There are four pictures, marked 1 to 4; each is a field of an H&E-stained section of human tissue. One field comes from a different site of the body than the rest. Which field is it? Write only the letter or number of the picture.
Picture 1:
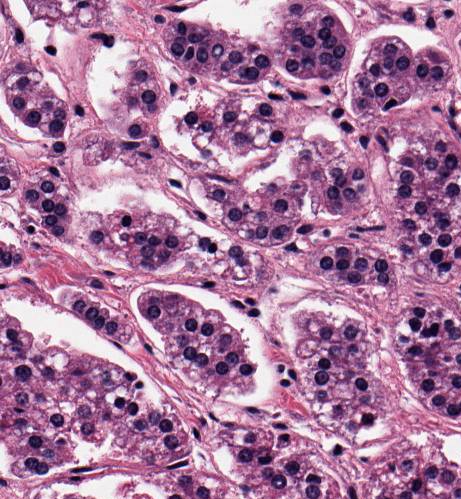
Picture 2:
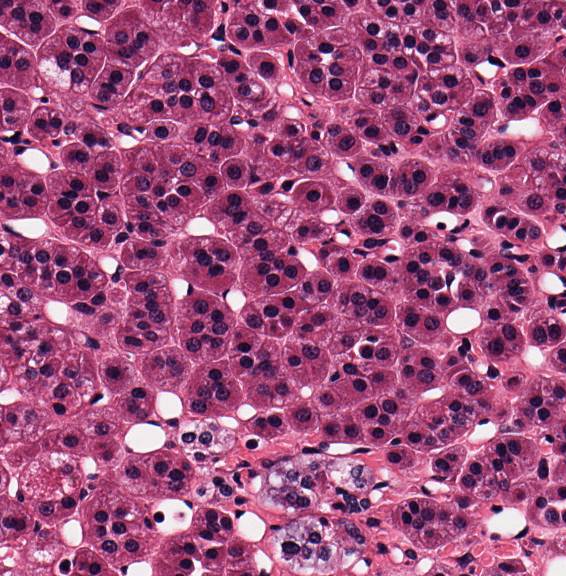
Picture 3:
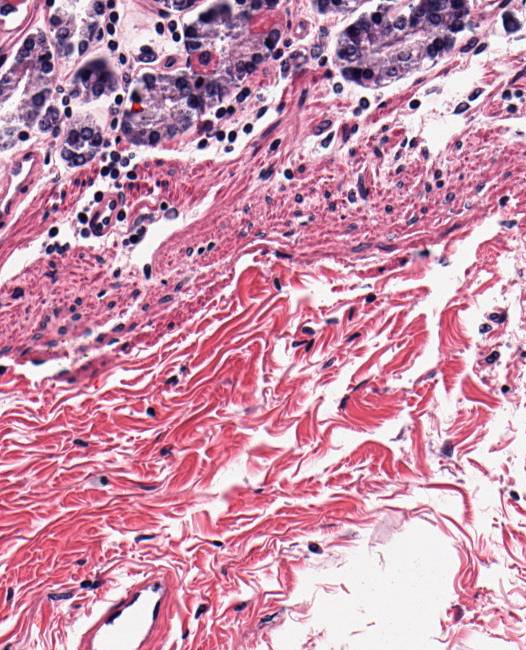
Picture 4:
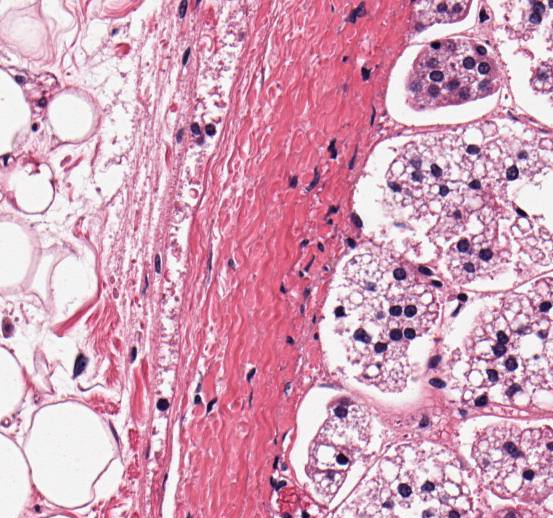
3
